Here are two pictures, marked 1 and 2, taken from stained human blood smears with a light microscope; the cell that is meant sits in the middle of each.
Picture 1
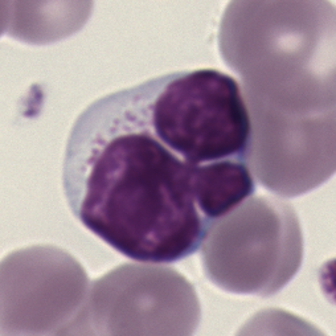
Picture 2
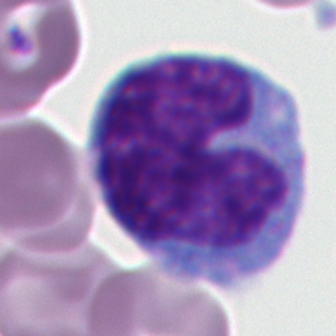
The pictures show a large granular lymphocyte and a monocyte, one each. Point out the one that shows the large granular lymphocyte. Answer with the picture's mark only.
1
